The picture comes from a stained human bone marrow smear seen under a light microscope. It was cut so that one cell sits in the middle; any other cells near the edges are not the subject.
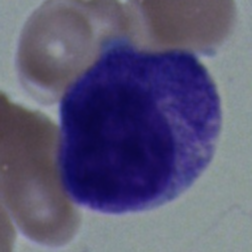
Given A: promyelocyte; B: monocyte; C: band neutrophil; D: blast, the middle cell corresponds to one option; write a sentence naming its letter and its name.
The cell in the middle is a promyelocyte, and that makes option A correct.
